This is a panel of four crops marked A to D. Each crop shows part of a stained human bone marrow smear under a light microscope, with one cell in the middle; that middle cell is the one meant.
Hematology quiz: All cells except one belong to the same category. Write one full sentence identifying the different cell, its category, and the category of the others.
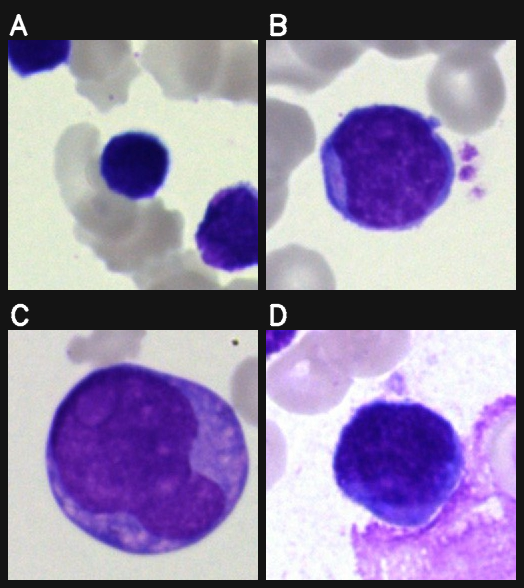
The different crop is A; it is a lymphocyte, and the others all show blasts.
